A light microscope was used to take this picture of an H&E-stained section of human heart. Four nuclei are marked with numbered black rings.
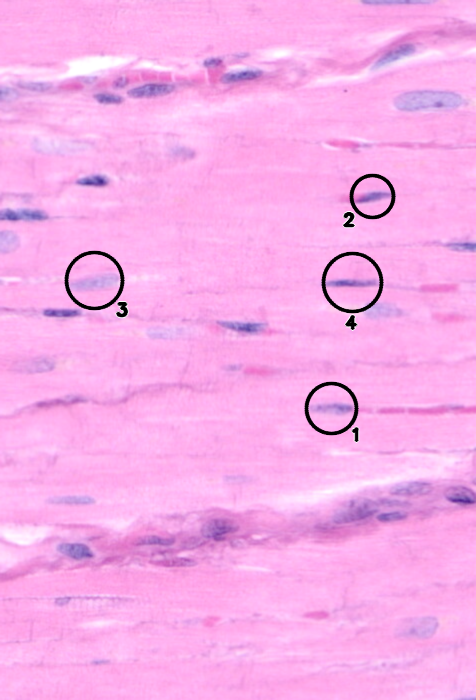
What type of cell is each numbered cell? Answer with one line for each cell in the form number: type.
1: endothelial cell
2: endothelial cell
3: cardiomyocyte
4: endothelial cell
